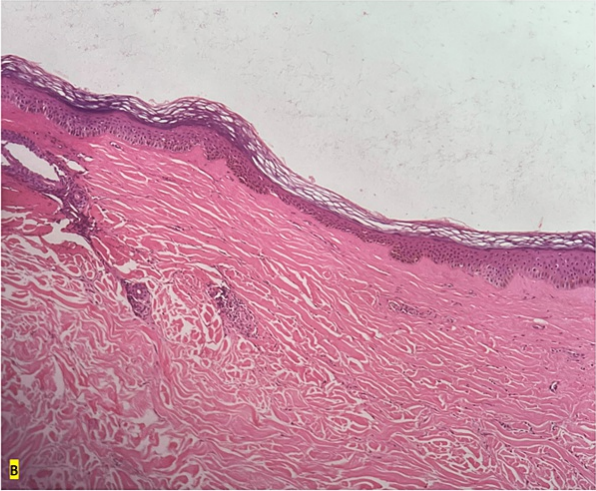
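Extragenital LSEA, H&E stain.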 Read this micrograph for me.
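At lower magnification, skin shows a thin epidermis of few cell layers with a basket-weave cornified layer on top and an almost straight lower border lacking downward ridges. Beneath it the dermis is a broad field of pink collagen with few cells and only small clusters of cells around vessels. The thin epidermis with flattened rete ridges reflects epidermal atrophy over a pink, collagen-rich dermis.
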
